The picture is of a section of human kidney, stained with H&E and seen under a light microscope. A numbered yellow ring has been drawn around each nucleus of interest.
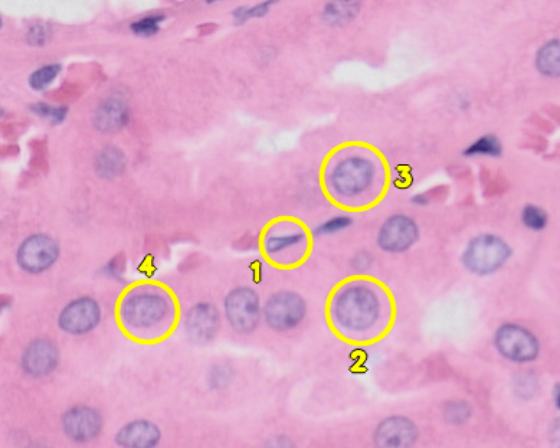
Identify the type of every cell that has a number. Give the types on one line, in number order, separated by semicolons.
endothelial cell; proximal tubule cell; proximal tubule cell; proximal tubule cell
